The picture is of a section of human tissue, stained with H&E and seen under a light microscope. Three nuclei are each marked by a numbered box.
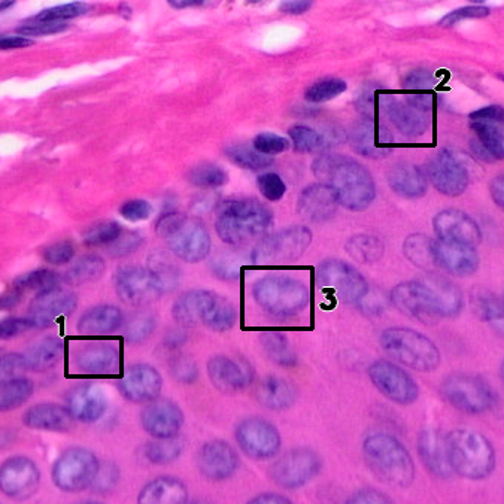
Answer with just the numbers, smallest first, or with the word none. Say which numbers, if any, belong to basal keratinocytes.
2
